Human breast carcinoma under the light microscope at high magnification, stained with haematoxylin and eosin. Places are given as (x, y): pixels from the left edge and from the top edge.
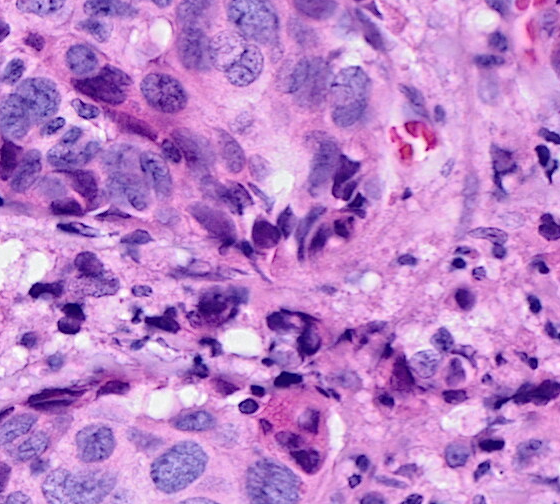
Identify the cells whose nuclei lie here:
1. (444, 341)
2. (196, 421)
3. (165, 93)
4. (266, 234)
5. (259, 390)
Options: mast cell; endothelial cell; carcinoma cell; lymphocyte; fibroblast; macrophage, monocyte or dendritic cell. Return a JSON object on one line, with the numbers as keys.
{"1": "lymphocyte", "2": "carcinoma cell", "3": "carcinoma cell", "4": "carcinoma cell", "5": "lymphocyte"}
